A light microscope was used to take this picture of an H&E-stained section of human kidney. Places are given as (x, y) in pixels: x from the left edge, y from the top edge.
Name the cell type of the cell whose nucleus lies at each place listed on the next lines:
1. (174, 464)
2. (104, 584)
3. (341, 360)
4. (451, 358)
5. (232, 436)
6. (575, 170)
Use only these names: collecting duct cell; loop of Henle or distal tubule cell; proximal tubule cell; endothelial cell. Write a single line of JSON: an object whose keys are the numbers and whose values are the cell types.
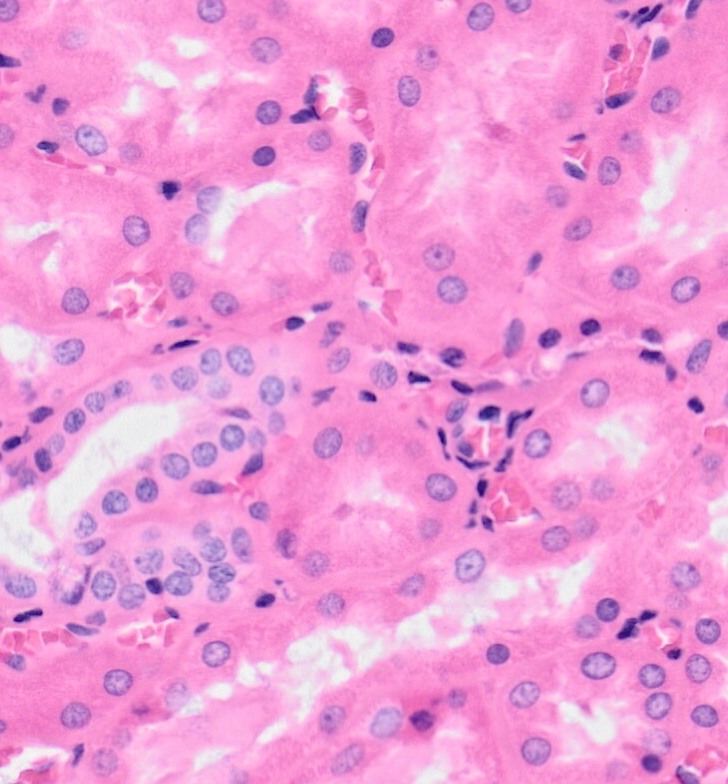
{"1": "collecting duct cell", "2": "collecting duct cell", "3": "loop of Henle or distal tubule cell", "4": "loop of Henle or distal tubule cell", "5": "collecting duct cell", "6": "endothelial cell"}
